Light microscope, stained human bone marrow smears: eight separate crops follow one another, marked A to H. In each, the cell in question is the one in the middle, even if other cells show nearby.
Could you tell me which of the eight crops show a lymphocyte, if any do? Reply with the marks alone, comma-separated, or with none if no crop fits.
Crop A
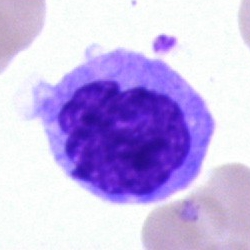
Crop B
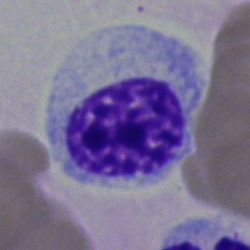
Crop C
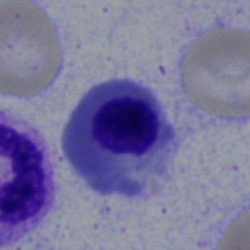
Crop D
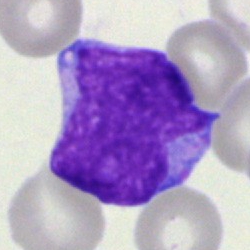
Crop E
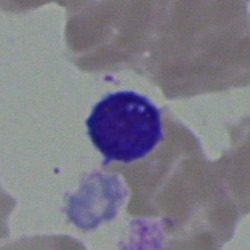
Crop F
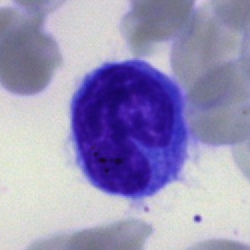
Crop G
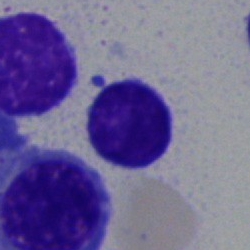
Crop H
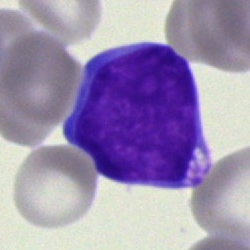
E, G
